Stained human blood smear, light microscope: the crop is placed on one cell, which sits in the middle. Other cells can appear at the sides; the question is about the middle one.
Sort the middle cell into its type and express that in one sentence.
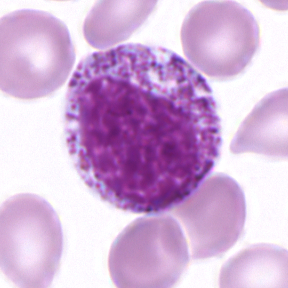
The cell under consideration, at the middle of the crop, is a myelocyte.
